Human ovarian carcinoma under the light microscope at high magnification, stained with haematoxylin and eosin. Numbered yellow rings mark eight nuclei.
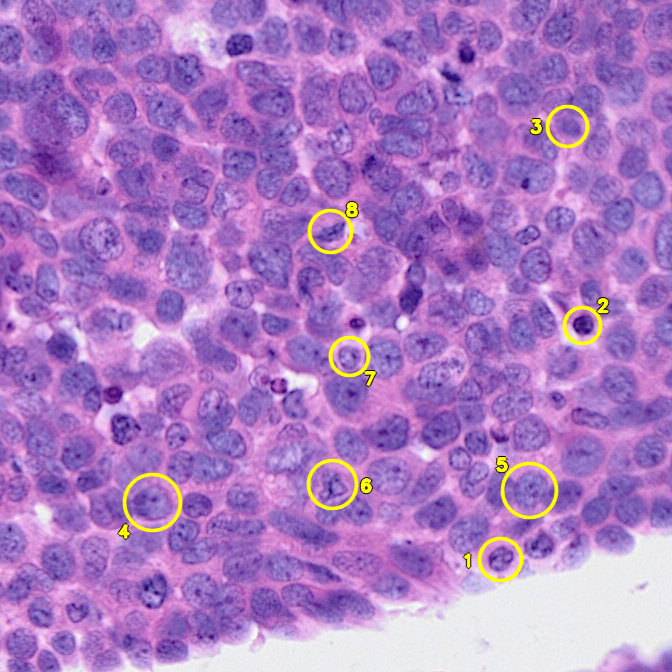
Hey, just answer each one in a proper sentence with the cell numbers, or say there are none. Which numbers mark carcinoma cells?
The cells whose numbers are 3, 4 and 5 are carcinoma cells.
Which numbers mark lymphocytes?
The numbered cell that is a lymphocyte is cell 2, and it is the only one.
